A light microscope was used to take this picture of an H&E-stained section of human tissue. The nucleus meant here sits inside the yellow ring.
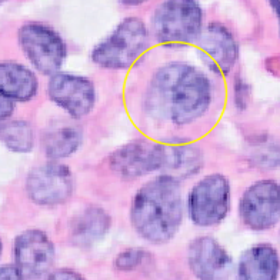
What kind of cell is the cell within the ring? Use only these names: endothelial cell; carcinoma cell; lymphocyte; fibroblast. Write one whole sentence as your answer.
For the purposes of cell typing, the cell within the ring is categorized as a carcinoma cell.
